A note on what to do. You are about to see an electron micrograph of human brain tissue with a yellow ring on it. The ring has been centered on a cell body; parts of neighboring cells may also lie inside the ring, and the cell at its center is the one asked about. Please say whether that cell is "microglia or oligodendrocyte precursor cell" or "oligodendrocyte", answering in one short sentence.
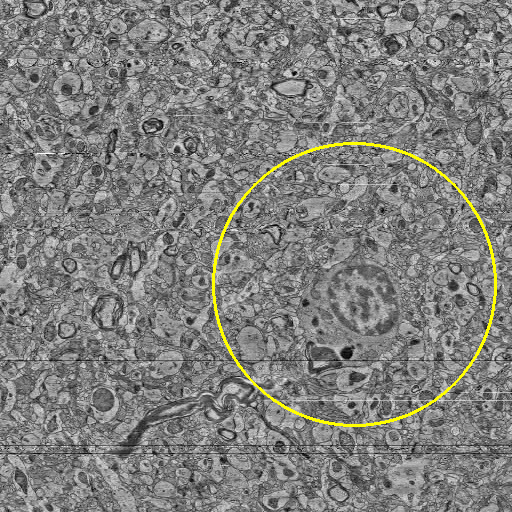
The yellow ring sits on an oligodendrocyte.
